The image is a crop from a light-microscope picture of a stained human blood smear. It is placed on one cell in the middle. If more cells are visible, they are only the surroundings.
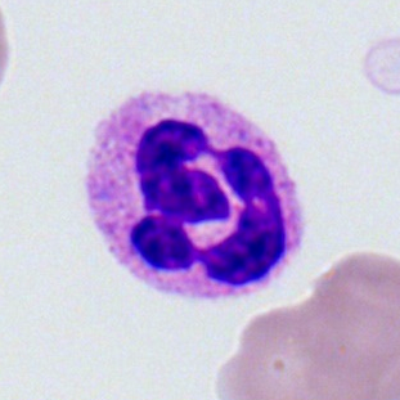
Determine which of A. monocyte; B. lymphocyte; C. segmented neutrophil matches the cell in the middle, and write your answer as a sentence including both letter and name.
Option C is the keyed answer: the cell in the middle is a segmented neutrophil.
